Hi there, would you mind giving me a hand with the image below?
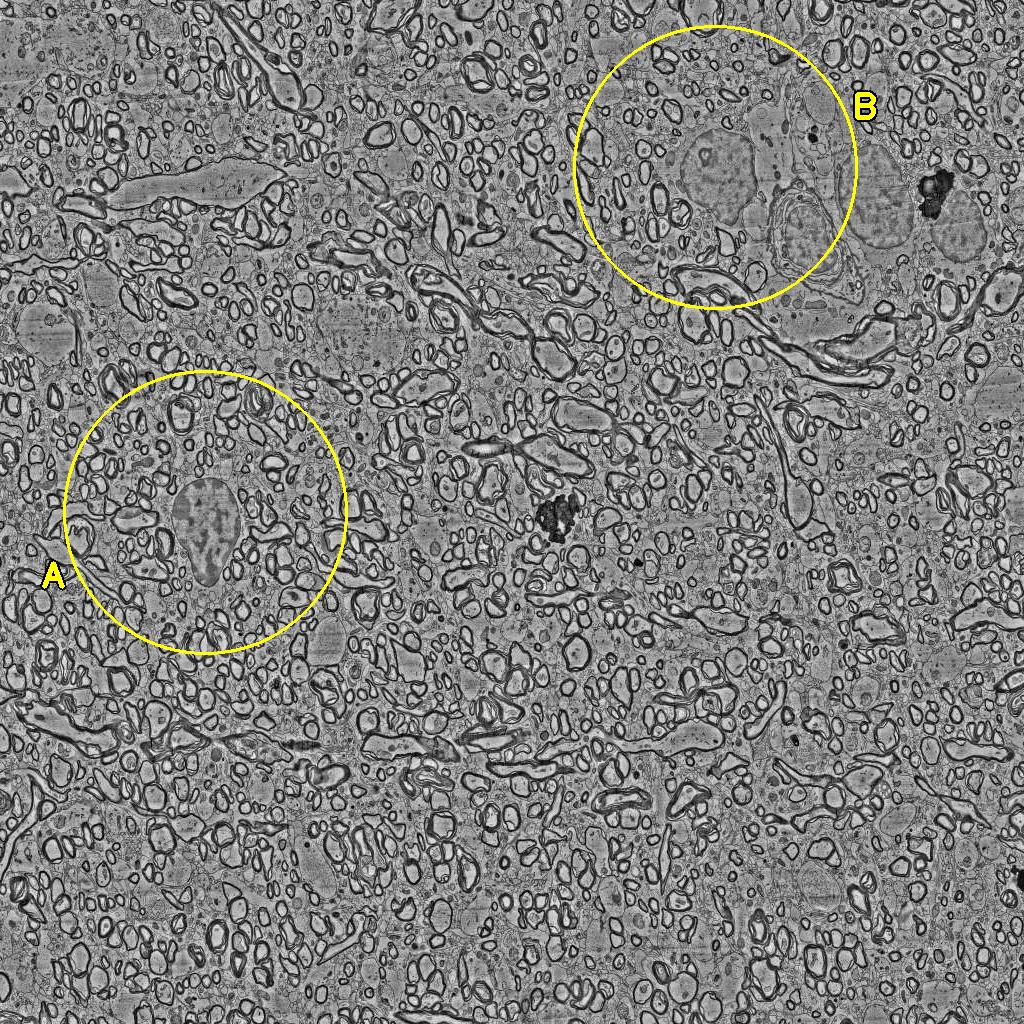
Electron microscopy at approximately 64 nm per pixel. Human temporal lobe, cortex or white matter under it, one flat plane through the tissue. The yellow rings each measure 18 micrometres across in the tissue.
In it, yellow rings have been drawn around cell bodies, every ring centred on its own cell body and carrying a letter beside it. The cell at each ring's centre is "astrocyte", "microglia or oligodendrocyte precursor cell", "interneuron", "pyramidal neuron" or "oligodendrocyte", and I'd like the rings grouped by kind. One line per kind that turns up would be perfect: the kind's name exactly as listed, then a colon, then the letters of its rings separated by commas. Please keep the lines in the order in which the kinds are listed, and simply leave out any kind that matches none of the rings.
microglia or oligodendrocyte precursor cell: A
oligodendrocyte: B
